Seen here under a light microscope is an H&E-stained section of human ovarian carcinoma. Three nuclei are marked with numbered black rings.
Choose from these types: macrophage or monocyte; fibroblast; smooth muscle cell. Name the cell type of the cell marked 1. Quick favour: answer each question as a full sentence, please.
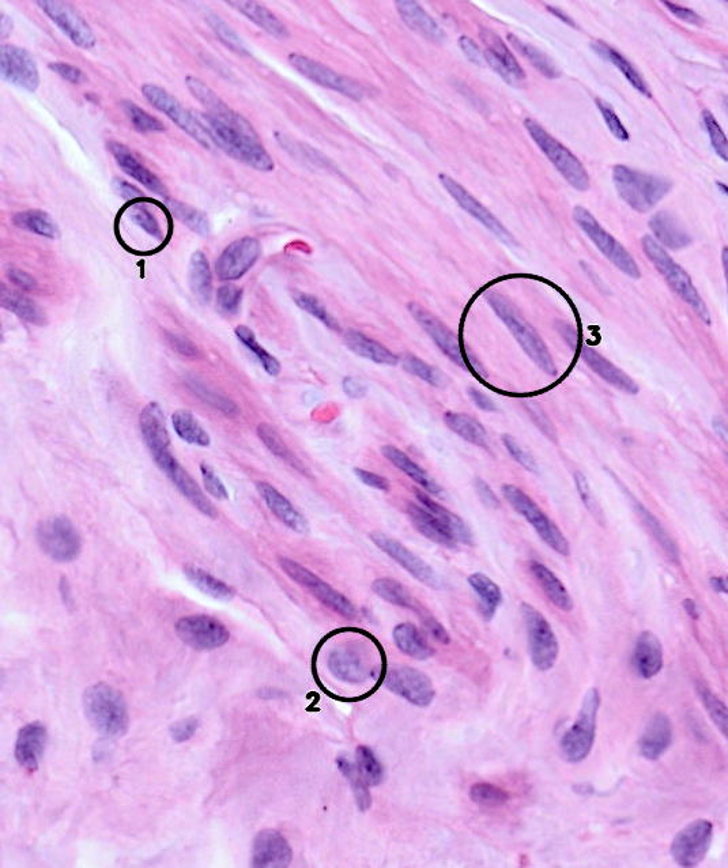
The nucleus marked 1 is the nucleus of a smooth muscle cell.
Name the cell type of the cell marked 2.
The marked cell with the number 2 is recognised as a fibroblast.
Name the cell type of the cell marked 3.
The cell that is numbered 3 is a smooth muscle cell.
